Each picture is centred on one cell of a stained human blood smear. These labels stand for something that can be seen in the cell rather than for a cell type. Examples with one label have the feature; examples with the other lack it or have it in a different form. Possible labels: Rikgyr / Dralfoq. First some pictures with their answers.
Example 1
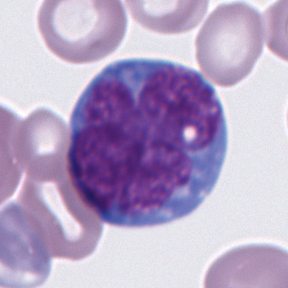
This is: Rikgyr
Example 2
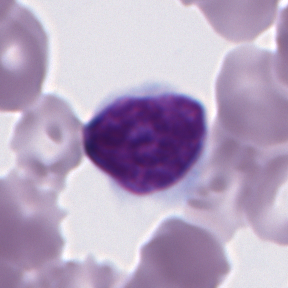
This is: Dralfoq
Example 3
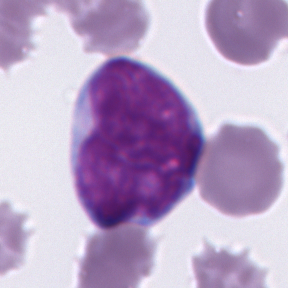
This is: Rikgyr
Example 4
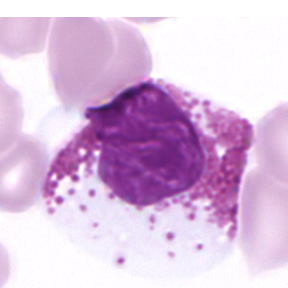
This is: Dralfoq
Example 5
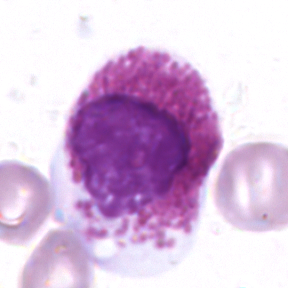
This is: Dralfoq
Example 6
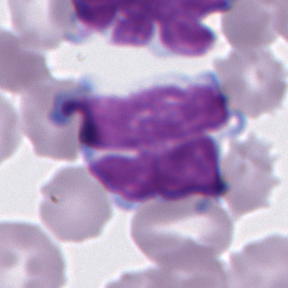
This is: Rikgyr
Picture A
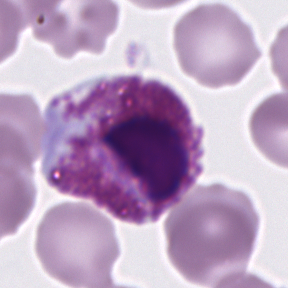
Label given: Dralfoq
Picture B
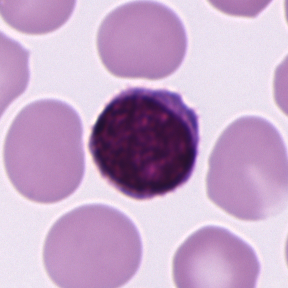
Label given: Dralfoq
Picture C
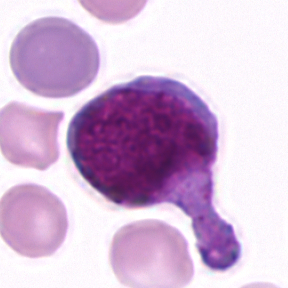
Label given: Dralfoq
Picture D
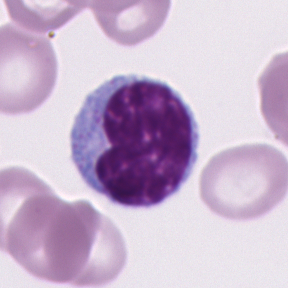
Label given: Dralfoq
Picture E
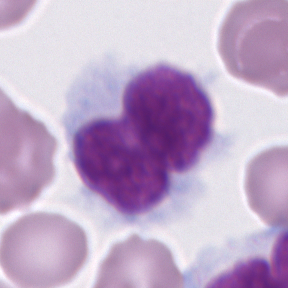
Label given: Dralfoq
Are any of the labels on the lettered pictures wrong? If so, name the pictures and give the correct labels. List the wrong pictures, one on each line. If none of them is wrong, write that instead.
E: Rikgyr, not Dralfoq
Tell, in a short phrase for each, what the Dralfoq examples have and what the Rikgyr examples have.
Dralfoq: single compact nucleus; Rikgyr: lobed nucleus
